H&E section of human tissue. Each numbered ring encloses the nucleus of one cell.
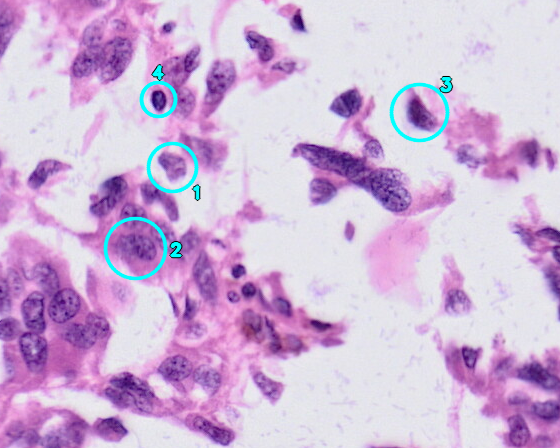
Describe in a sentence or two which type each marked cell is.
Cell 1 is a melanoma cell, cell 2 is a melanoma cell, cell 3 is a melanoma cell and cell 4 is a lymphocyte.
